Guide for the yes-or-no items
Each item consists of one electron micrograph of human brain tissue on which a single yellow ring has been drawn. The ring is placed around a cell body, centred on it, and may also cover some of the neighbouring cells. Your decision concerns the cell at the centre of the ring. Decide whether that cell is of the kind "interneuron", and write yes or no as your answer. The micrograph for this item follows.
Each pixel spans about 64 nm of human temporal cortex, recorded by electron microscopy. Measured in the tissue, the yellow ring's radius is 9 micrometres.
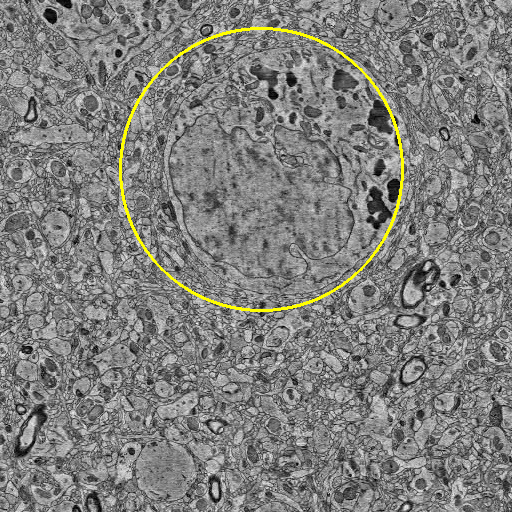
yes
